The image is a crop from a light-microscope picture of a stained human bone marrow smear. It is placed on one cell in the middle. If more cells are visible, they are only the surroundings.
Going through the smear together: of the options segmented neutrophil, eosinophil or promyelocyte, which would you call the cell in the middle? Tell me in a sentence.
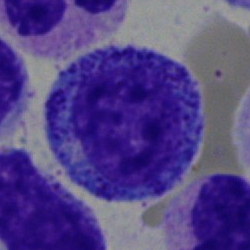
What the crop centres on is a promyelocyte.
